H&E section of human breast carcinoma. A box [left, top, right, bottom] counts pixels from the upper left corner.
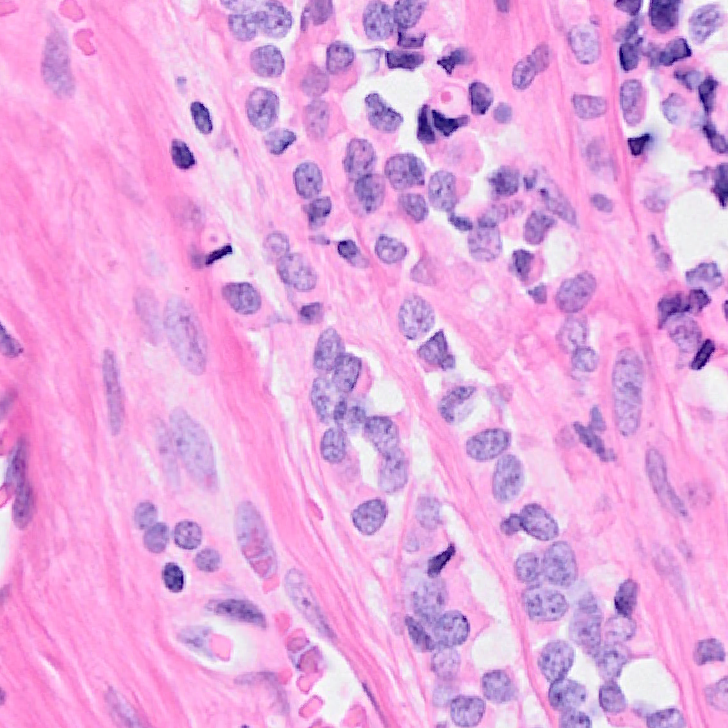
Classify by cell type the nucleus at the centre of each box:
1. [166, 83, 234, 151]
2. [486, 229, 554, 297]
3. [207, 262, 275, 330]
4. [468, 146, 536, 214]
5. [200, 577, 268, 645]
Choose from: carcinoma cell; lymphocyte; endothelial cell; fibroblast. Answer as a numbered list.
1. lymphocyte
2. carcinoma cell
3. carcinoma cell
4. carcinoma cell
5. endothelial cell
